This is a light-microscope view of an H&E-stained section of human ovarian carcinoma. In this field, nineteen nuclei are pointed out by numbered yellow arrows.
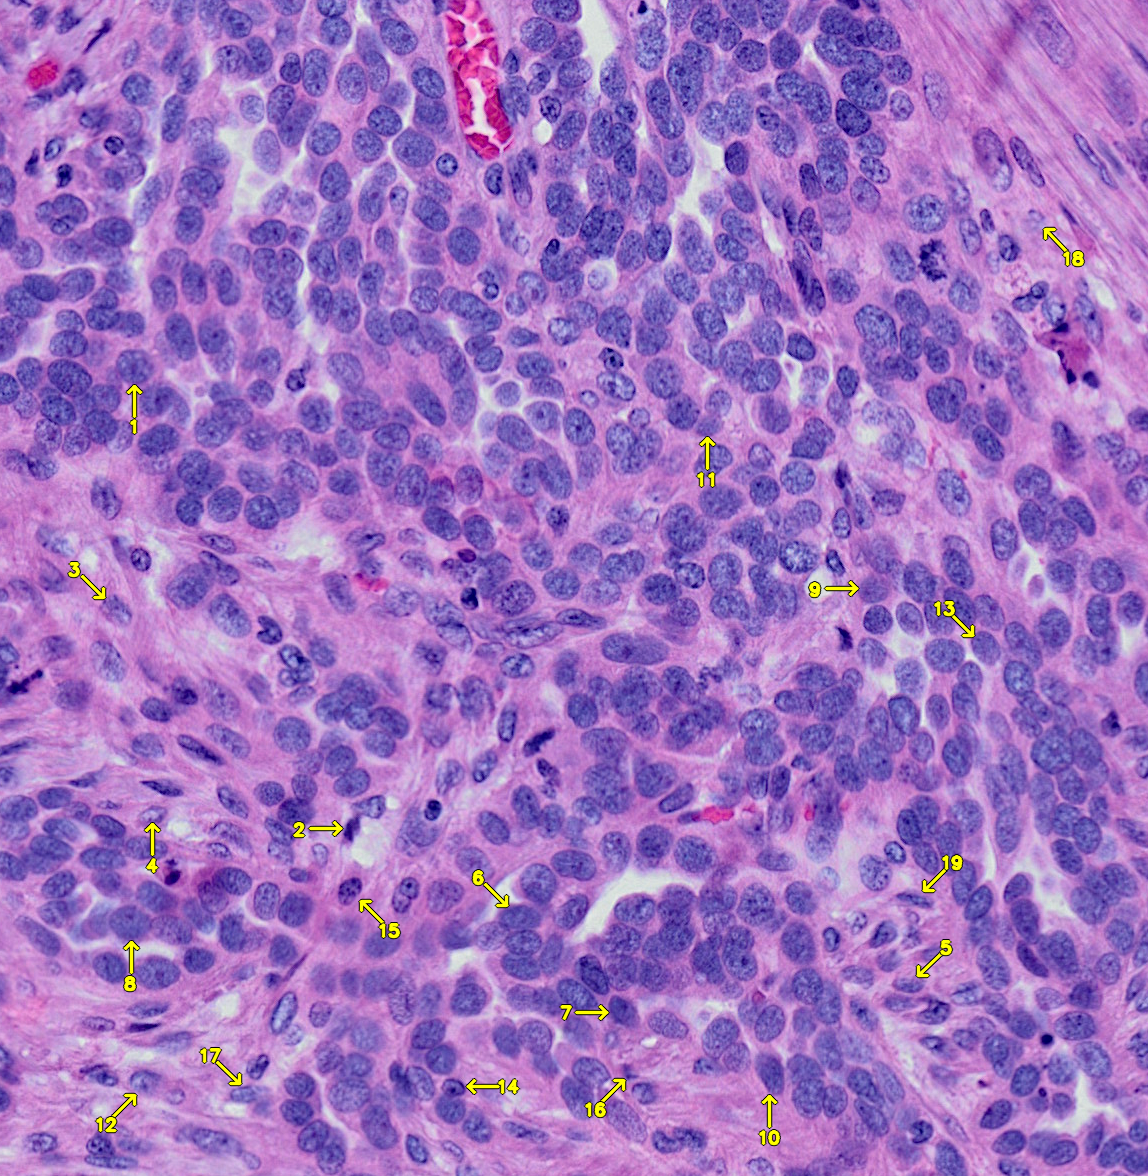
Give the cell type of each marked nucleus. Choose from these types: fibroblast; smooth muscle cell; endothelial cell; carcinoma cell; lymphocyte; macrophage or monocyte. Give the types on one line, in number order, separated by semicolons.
carcinoma cell; fibroblast; fibroblast; fibroblast; fibroblast; carcinoma cell; carcinoma cell; carcinoma cell; carcinoma cell; carcinoma cell; carcinoma cell; fibroblast; carcinoma cell; macrophage or monocyte; macrophage or monocyte; fibroblast; fibroblast; fibroblast; fibroblast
